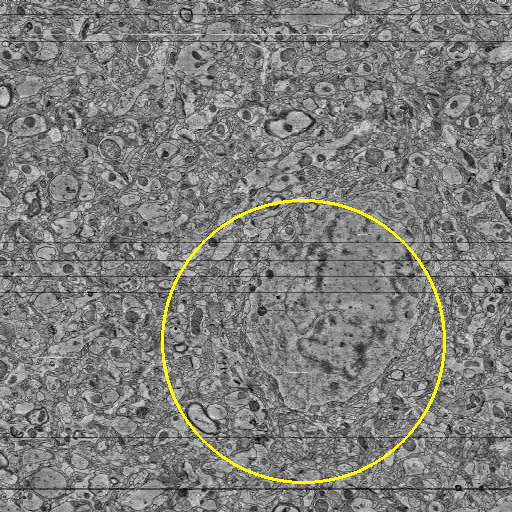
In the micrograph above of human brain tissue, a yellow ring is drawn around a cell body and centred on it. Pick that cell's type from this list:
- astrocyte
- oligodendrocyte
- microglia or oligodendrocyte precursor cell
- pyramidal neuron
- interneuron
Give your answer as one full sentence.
Going by the list, an interneuron is the cell on which the yellow ring is centred.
